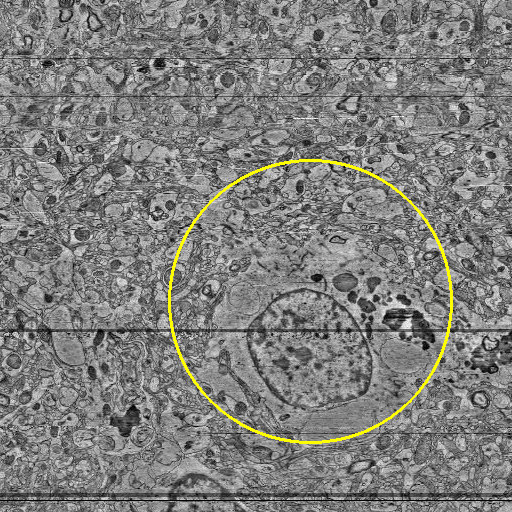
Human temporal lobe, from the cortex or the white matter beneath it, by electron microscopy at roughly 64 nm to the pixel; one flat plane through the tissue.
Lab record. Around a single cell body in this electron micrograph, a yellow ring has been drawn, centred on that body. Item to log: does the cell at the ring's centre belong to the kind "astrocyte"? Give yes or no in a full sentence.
Yes, in the micrograph, the ringed cell at the centre belongs to that kind.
